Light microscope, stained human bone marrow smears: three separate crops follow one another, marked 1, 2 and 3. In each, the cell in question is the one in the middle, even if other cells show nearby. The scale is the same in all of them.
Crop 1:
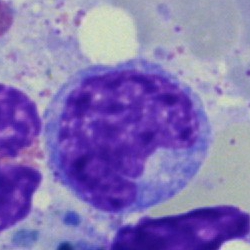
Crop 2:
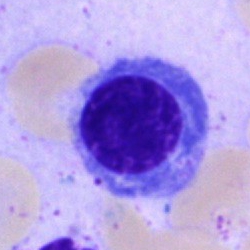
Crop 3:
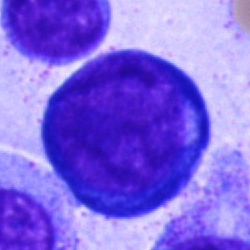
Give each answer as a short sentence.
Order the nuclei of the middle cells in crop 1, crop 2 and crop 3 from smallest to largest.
Going up, they run 2, 1, 3.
